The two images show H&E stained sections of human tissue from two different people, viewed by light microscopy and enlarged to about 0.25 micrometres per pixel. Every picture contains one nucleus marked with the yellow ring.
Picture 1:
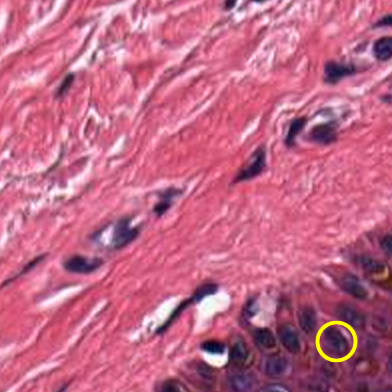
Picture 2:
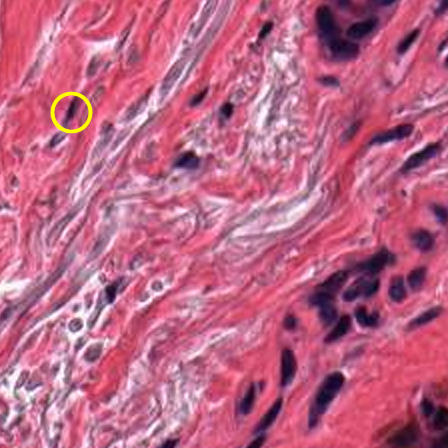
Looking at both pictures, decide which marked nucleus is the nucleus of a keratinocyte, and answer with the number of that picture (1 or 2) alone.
1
